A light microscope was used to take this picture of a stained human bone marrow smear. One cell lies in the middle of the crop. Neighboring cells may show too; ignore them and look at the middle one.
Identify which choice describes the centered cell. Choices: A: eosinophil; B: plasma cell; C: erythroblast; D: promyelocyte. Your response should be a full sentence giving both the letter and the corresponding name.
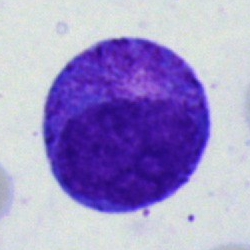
As the central cell is a promyelocyte, option D is correct.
